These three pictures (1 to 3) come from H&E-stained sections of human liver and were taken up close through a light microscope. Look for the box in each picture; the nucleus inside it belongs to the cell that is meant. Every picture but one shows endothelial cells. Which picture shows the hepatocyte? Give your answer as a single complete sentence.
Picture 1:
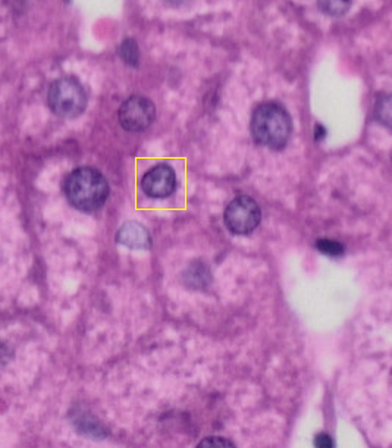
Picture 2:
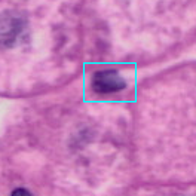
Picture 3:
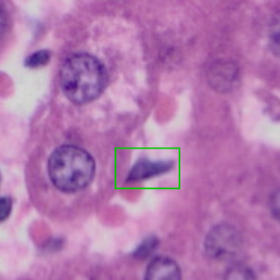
The picture with the hepatocyte is 1.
